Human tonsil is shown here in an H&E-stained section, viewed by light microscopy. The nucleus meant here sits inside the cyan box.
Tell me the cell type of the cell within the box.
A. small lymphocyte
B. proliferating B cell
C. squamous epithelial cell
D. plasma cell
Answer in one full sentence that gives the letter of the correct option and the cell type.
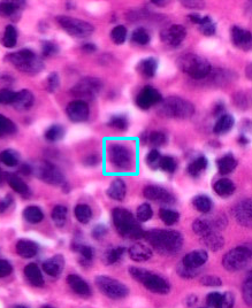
Right answer, option C: the cell within the box is a squamous epithelial cell.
